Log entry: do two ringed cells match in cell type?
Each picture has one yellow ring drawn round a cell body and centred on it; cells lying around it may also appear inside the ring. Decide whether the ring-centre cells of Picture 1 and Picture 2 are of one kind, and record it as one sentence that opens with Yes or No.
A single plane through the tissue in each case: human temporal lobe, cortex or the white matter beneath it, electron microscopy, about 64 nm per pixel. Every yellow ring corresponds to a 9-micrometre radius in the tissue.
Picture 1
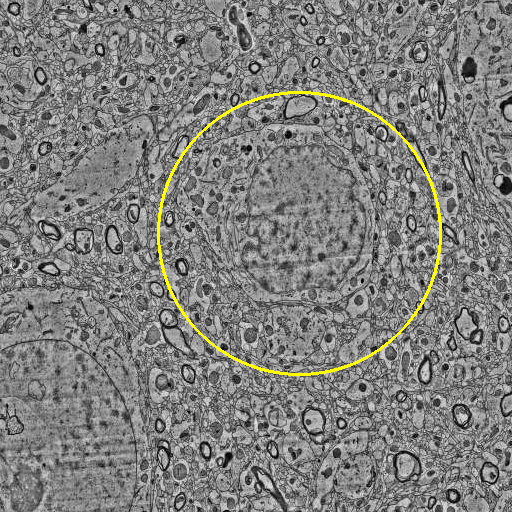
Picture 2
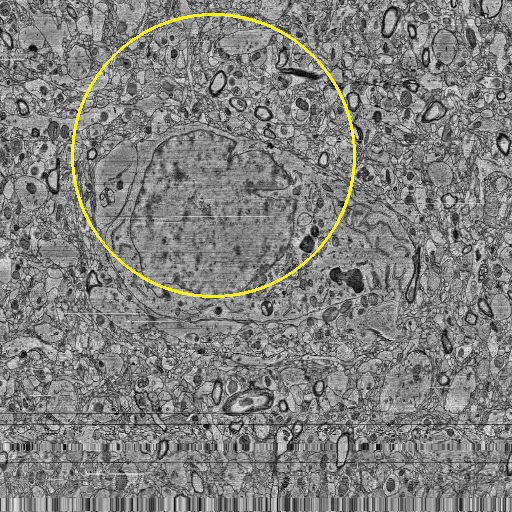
Yes, the cells at the ring centres of the two pictures belong to one kind.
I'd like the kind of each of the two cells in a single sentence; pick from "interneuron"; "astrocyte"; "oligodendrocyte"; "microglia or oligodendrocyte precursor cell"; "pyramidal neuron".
The second cell is an interneuron, just as the first is.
